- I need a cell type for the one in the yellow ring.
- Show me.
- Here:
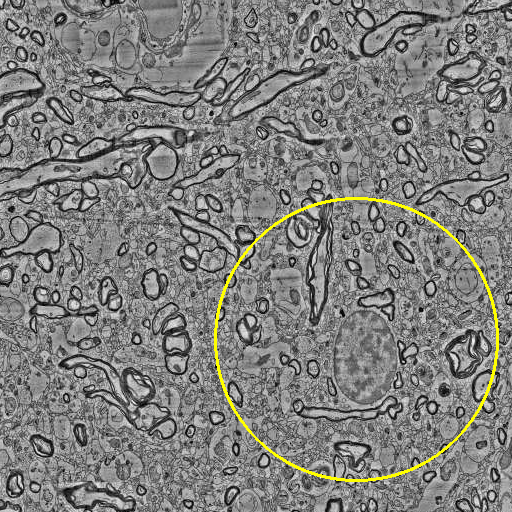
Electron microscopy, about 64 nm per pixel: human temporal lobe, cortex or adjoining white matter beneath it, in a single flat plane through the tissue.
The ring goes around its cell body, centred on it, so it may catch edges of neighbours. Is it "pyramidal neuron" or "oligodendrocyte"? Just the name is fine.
oligodendrocyte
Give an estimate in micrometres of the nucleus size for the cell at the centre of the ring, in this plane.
About 6 by 4 micrometers, in this plane.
